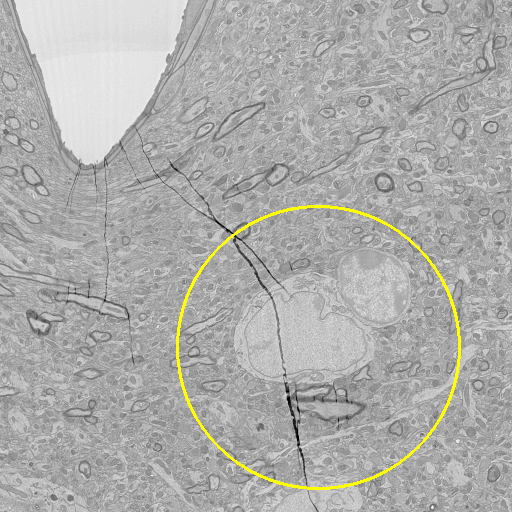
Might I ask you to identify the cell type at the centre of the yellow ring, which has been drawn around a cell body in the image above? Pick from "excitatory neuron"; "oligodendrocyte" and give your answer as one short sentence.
The centre of the ring falls on an excitatory neuron.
